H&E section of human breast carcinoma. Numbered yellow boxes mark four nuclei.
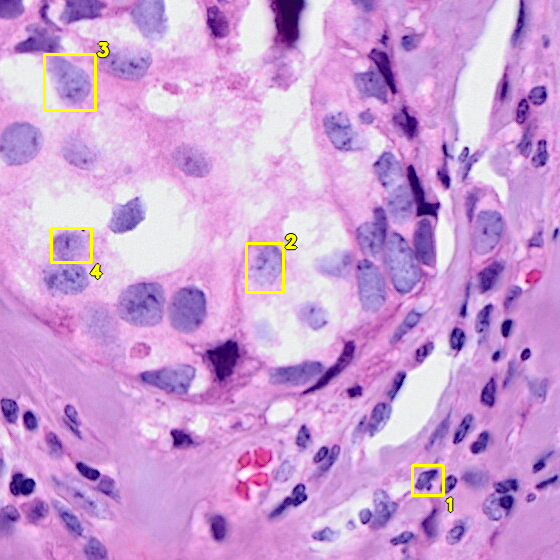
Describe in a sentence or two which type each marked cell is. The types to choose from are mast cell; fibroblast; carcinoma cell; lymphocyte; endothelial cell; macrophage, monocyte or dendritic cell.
Cell 1 is a lymphocyte, cell 2 is a carcinoma cell, cell 3 is a carcinoma cell and cell 4 is a carcinoma cell.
